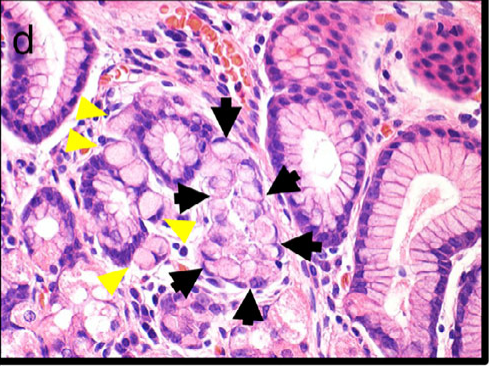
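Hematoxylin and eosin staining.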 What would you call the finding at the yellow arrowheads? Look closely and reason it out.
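Pagetoid spread of signet ring cells. The arrowheads point to pale, clear cells lying within the lining of neighbouring glands. These cells are larger and paler than the adjacent gland cells.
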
